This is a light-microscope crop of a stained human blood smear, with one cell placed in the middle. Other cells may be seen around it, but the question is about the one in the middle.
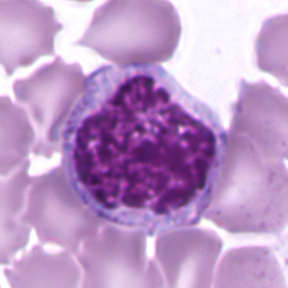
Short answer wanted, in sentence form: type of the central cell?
Centred in the crop is a myelocyte.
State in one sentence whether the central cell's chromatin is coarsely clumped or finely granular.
Its chromatin is clumped in a coarse pattern.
